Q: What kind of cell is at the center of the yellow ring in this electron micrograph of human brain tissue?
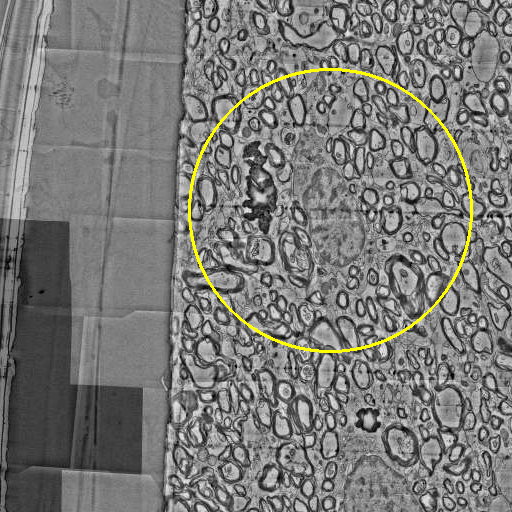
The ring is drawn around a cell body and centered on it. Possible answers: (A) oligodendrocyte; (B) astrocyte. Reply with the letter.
A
